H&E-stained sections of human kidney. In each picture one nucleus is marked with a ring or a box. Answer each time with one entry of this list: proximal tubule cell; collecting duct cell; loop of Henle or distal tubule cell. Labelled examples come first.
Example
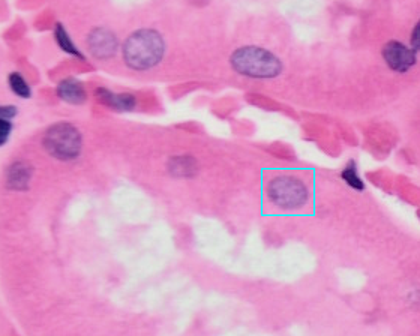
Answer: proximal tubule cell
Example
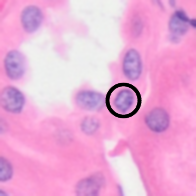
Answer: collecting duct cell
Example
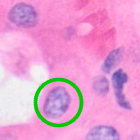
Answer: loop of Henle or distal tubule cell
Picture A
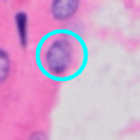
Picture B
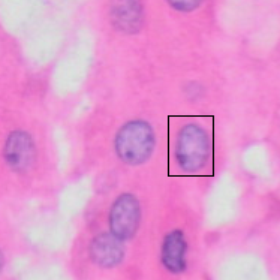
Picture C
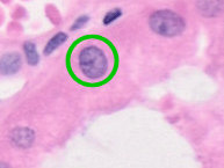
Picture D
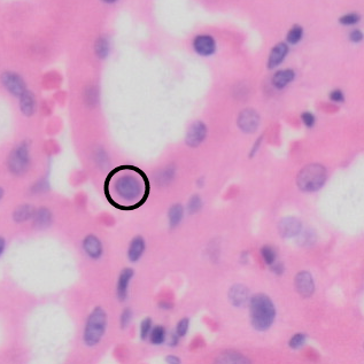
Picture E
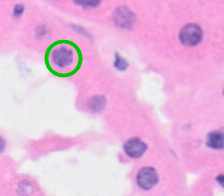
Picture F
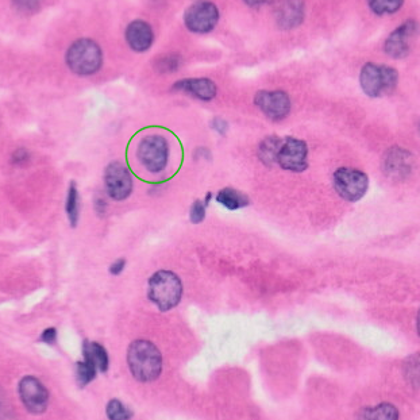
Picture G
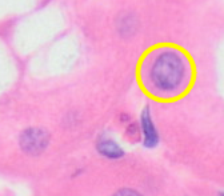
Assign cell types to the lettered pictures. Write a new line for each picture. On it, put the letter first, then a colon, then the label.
A: loop of Henle or distal tubule cell
B: proximal tubule cell
C: proximal tubule cell
D: collecting duct cell
E: loop of Henle or distal tubule cell
F: collecting duct cell
G: proximal tubule cell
